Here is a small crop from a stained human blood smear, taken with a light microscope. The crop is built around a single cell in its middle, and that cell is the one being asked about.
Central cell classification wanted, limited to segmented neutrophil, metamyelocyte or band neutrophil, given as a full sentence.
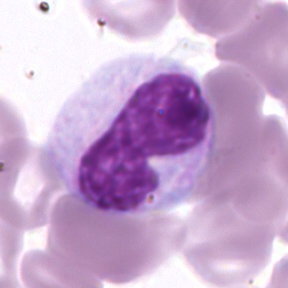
What the crop centres on is a band neutrophil.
